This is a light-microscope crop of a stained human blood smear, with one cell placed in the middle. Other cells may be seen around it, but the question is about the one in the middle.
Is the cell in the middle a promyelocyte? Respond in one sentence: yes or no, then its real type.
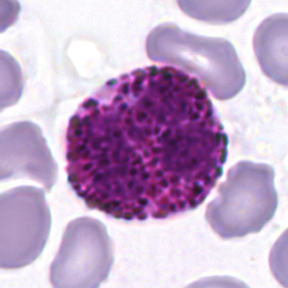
No, the central cell is not to be called a promyelocyte, being a basophil.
